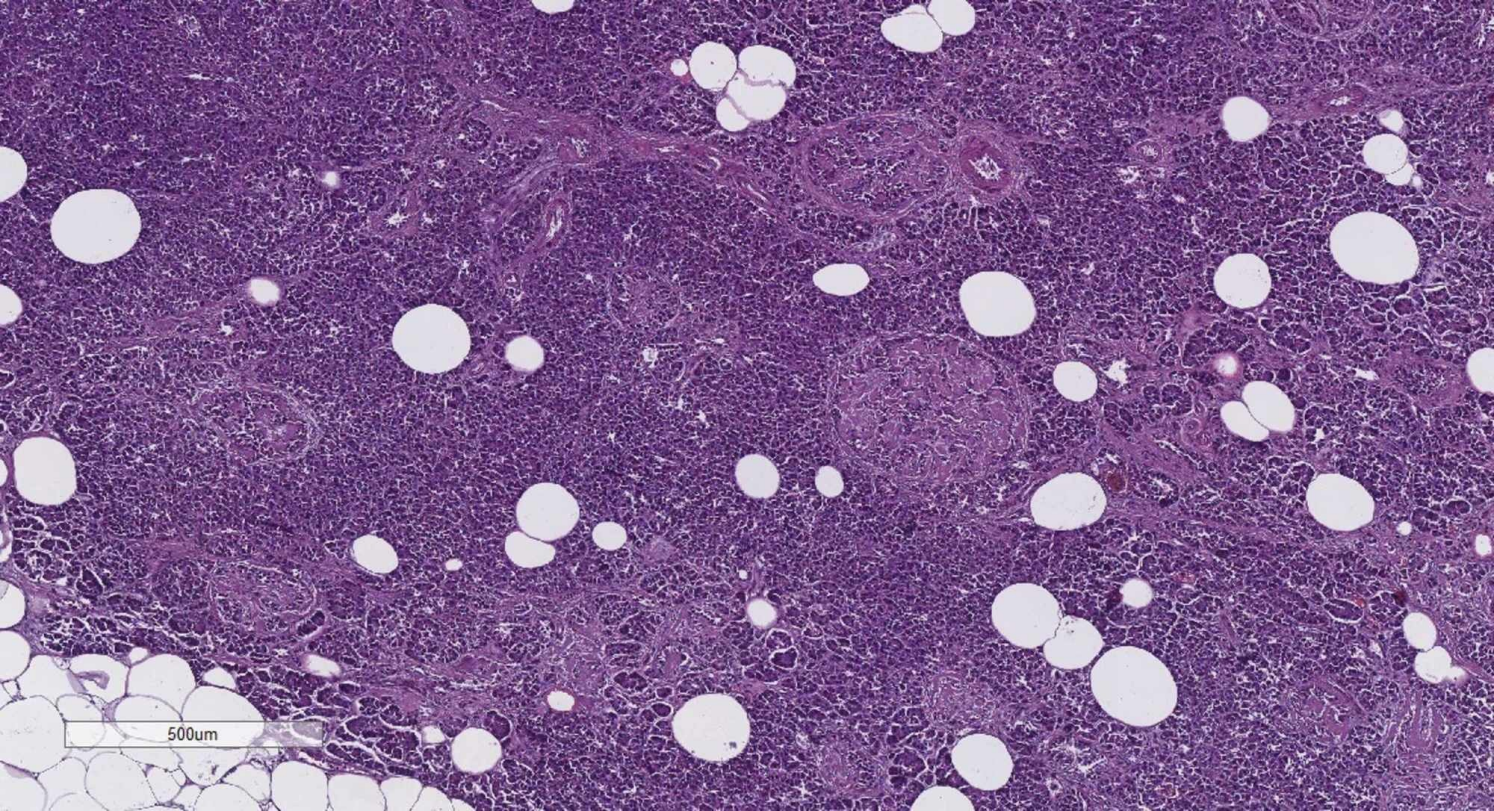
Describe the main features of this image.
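Densely packed dark purple acini make up most of it. Many round, clear, empty-looking fat cells lie scattered through the lobules, and a lobule of fat sits in the lower left corner. Pale pink fibrous bands run between the lobules and around the ducts and vessels.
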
